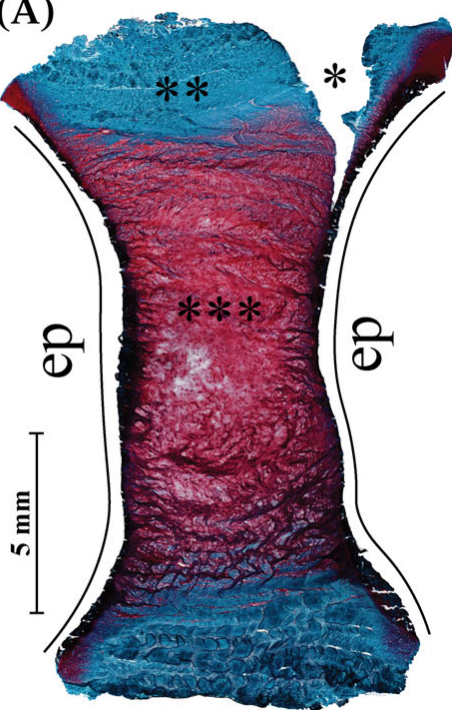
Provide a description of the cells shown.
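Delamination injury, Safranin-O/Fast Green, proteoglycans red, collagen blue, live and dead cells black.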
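A whole intervertebral disc section is seen, waisted in the middle, with blue bands of layered fibrous tissue at top and bottom and a large red-stained centre. The blue outer tissue shows lamellae running across, while the red central tissue looks loose and irregular with a pale patch.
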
